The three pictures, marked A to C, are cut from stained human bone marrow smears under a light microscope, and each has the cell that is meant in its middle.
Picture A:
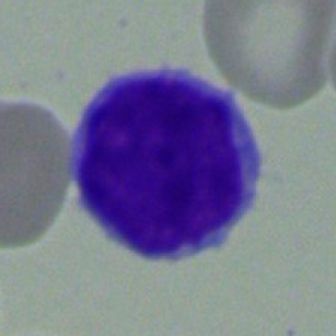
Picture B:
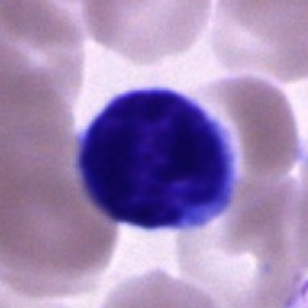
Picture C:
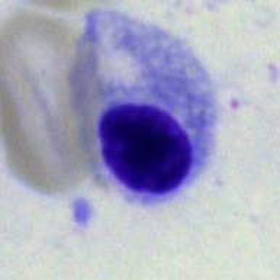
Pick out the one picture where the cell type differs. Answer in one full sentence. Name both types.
Picture C differs, because its cell is an erythroblast and the rest are lymphocytes.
